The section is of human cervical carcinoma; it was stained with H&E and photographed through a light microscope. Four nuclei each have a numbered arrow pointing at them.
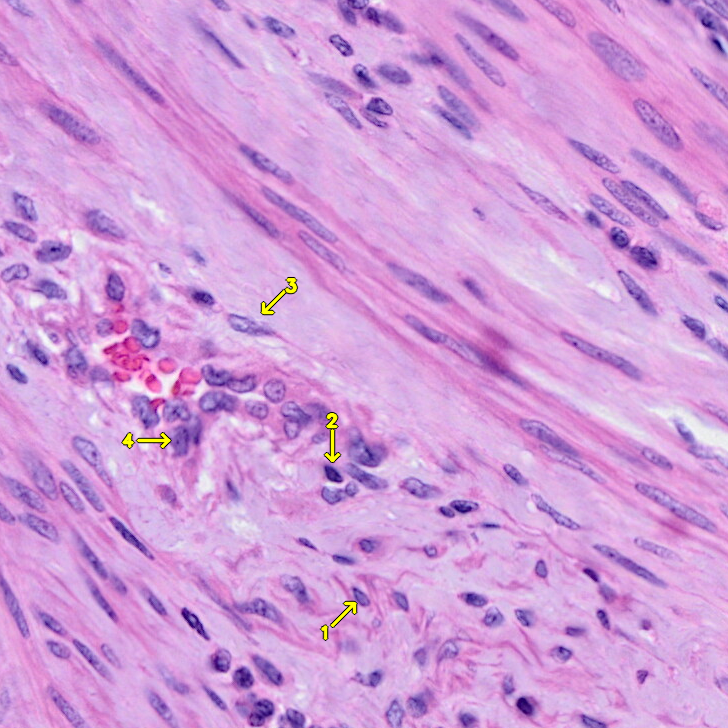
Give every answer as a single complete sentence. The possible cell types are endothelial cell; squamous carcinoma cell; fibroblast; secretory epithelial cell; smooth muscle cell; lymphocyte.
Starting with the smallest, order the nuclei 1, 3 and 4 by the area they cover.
Smallest first, the nuclei run 1, 4, 3.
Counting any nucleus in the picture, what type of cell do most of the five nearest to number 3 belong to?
Around number 3, most of the five nearest nuclei are those of endothelial cells.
